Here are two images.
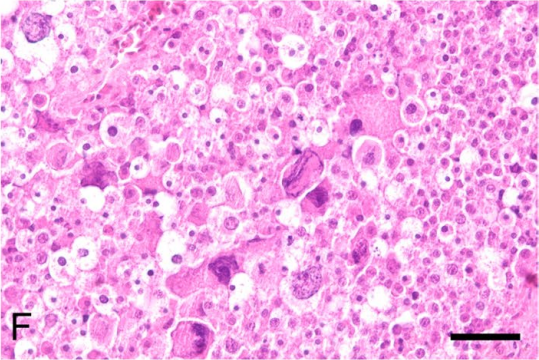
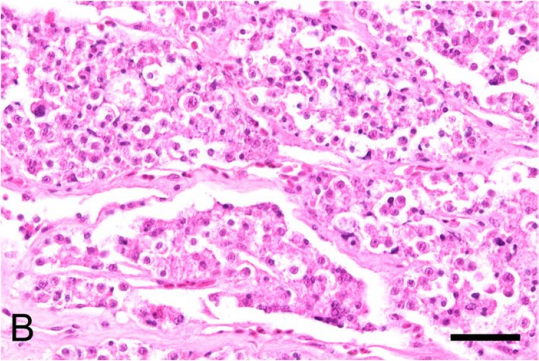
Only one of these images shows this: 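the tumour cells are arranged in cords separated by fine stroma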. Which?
The second image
